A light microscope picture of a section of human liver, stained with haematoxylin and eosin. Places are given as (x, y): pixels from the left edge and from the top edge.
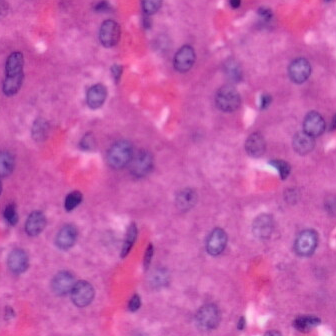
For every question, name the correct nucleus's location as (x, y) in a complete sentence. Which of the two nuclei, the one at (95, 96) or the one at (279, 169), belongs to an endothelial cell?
The nucleus at (279, 169) is assigned to an endothelial cell.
